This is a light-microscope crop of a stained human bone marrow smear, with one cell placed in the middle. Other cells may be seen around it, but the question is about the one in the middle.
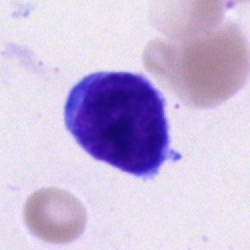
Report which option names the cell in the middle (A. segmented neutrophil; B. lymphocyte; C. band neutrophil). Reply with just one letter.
B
